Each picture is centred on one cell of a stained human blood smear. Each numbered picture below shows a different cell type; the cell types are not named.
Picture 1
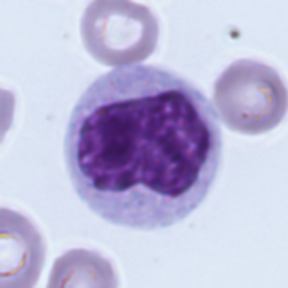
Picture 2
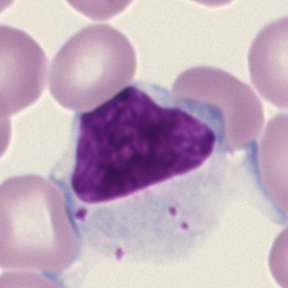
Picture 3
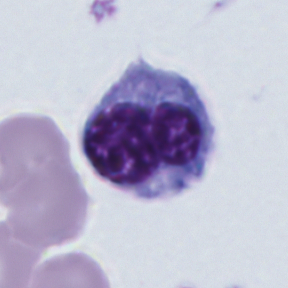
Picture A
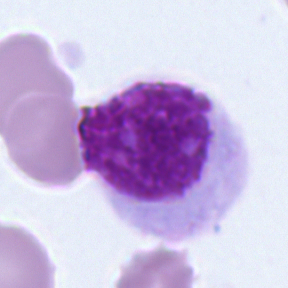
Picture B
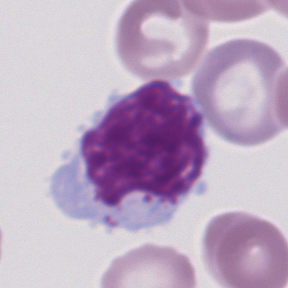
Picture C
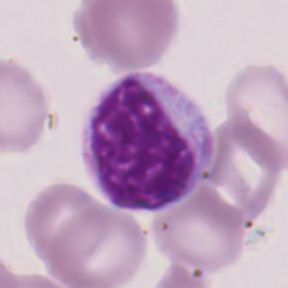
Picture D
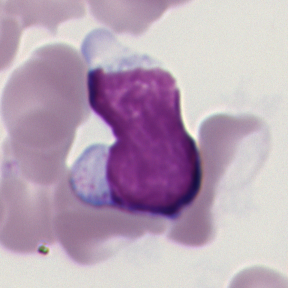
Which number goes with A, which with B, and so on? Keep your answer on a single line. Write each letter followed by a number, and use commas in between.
A 3, B 2, C 1, D 2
